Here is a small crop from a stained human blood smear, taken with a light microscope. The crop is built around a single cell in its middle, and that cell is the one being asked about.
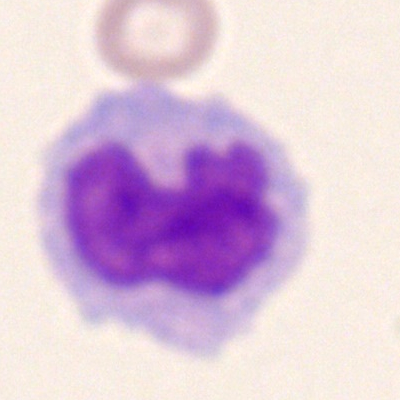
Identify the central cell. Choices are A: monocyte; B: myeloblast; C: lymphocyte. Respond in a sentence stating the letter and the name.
Well, the cell in the middle is a monocyte, making option A right.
